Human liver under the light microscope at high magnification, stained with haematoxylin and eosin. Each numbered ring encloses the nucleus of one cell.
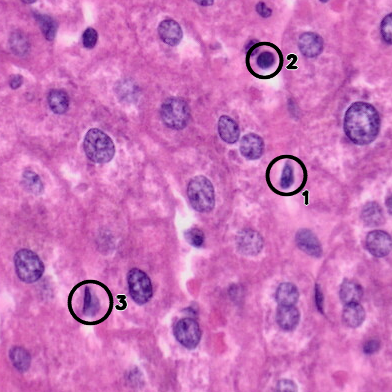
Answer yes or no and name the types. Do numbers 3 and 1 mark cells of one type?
No, cell 3 is an endothelial cell, while cell 1 is a lymphocyte.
